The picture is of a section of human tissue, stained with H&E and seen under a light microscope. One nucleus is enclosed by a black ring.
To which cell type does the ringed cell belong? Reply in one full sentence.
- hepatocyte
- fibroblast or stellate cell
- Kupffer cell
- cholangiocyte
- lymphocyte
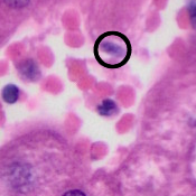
The cell type represented by the ringed cell is that of a fibroblast or stellate cell.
